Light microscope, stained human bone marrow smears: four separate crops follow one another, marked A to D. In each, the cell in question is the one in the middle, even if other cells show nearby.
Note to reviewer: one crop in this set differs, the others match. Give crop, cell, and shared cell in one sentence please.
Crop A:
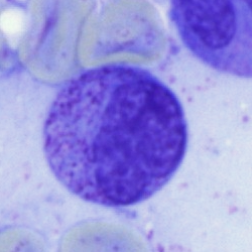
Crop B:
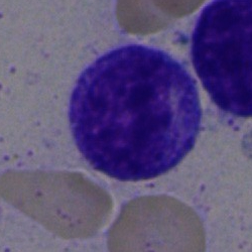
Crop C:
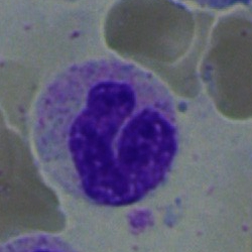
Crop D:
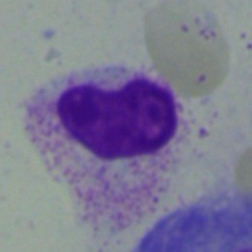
Crop C is a band neutrophil, the one exception to the metamyelocytes of the other crops.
